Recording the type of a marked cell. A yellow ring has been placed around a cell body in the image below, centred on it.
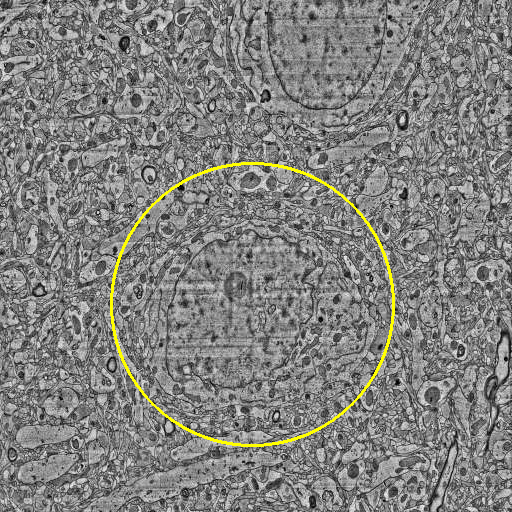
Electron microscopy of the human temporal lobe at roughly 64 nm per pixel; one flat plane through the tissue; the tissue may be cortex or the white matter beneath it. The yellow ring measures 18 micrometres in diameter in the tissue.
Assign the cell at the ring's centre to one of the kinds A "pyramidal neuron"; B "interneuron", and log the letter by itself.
B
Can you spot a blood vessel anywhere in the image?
No, none appears.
